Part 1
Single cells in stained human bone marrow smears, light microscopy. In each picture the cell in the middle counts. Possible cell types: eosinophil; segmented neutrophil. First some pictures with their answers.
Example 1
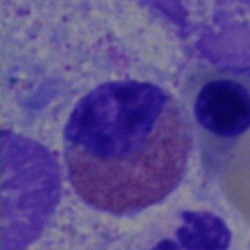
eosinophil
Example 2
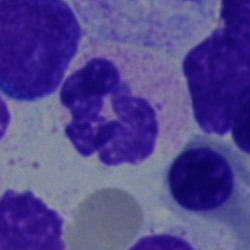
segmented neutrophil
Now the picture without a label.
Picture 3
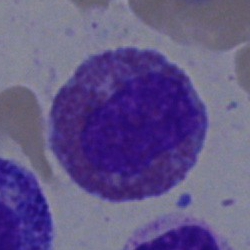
eosinophil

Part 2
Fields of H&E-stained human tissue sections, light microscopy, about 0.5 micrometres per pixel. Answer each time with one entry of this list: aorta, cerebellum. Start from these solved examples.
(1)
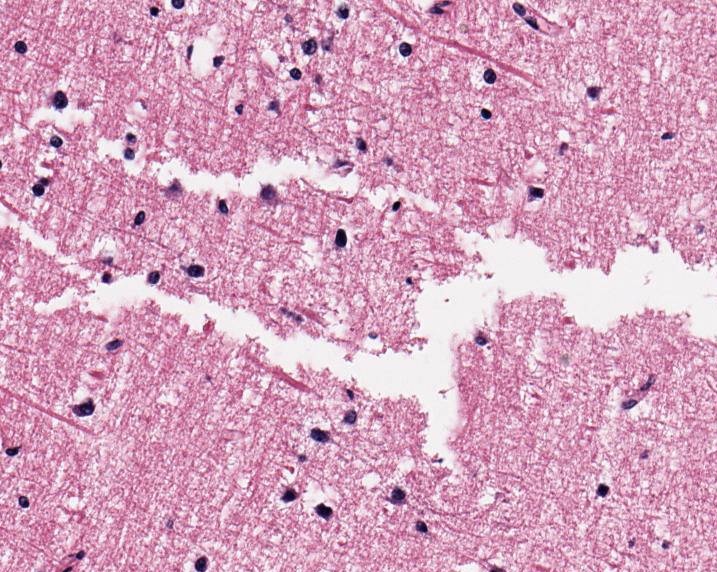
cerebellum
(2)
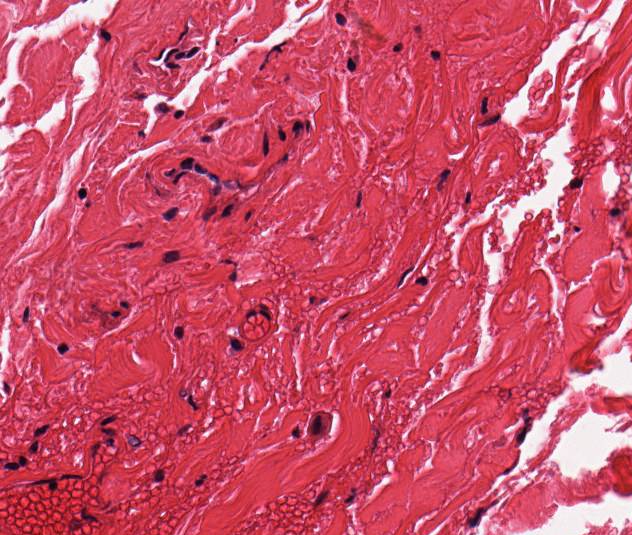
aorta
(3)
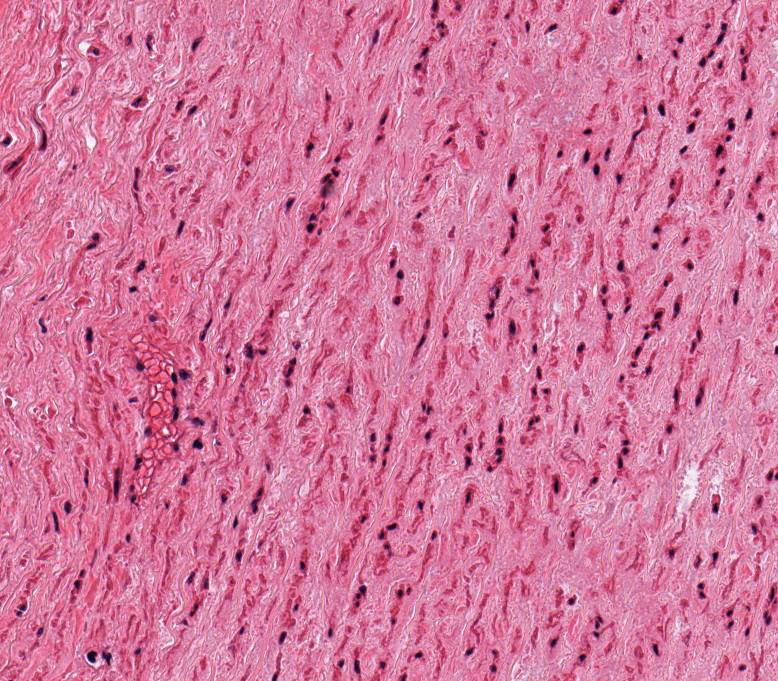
aorta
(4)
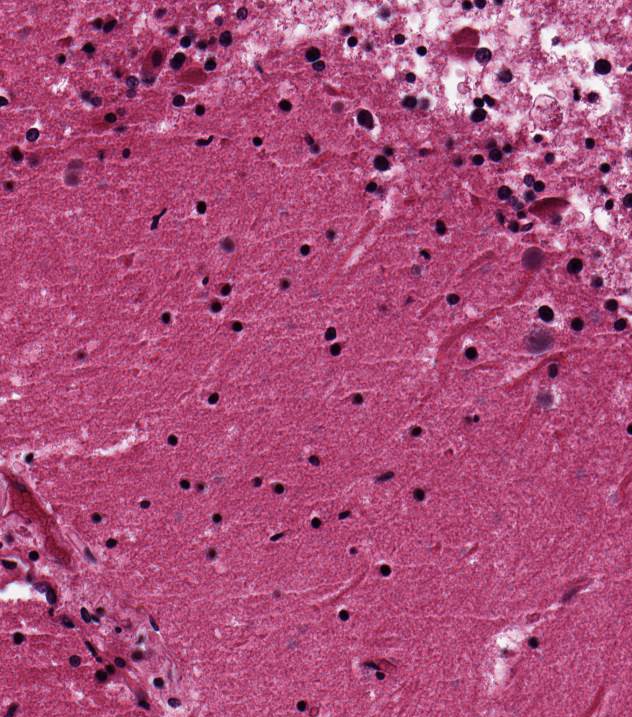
cerebellum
